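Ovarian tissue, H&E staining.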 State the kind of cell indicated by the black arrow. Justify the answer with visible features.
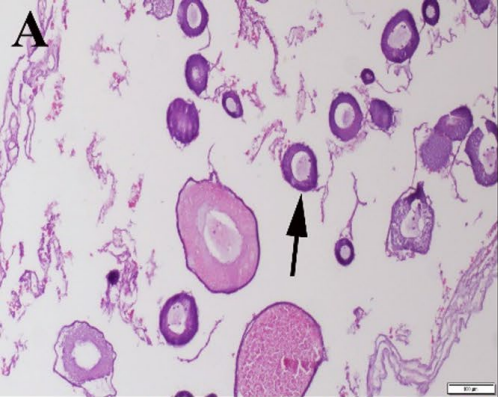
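Immature oocytes. The marked cell is small and round compared with the large pink oocytes nearby. Its cytoplasm stains dark purple. It has a pale central nucleus.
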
